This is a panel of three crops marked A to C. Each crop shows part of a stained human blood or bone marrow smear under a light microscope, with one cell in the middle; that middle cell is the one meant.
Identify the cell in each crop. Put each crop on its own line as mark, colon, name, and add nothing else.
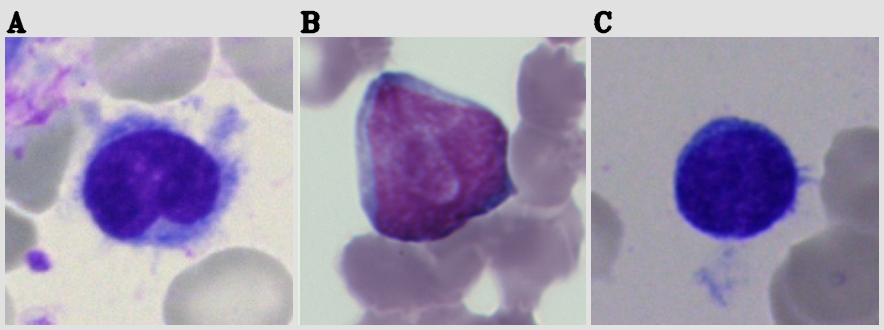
A: hairy cell
B: blast
C: lymphocyte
